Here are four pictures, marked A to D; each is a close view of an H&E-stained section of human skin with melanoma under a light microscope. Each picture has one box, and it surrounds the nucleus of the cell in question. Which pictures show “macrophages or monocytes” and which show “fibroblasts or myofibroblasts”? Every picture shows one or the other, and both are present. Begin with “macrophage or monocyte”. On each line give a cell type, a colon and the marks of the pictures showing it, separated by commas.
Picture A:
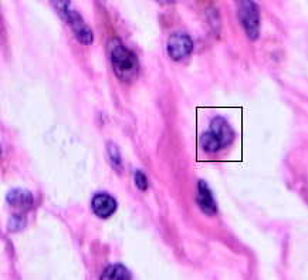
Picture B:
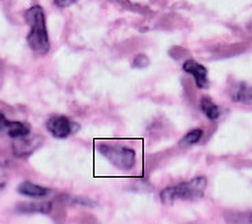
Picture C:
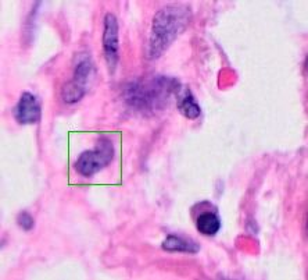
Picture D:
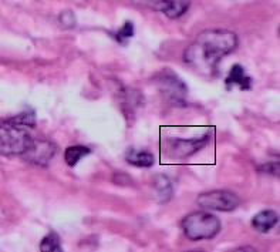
macrophage or monocyte: A, C
fibroblast or myofibroblast: B, D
